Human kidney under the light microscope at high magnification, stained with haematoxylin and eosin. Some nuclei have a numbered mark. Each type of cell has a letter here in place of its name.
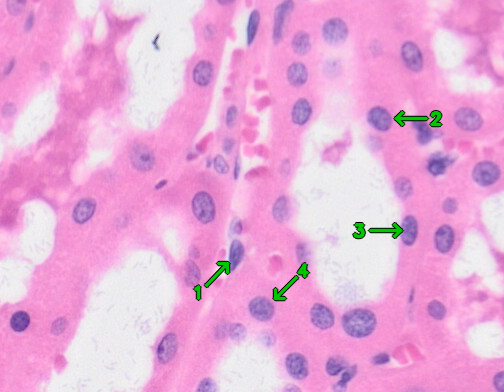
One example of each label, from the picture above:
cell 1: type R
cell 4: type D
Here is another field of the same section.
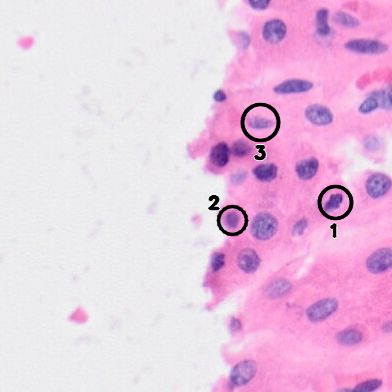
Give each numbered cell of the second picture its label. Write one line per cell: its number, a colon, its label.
1: type D
2: type D
3: type R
